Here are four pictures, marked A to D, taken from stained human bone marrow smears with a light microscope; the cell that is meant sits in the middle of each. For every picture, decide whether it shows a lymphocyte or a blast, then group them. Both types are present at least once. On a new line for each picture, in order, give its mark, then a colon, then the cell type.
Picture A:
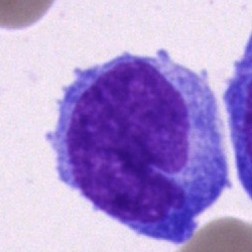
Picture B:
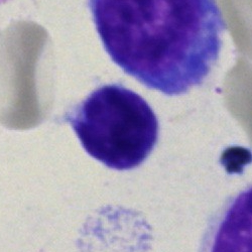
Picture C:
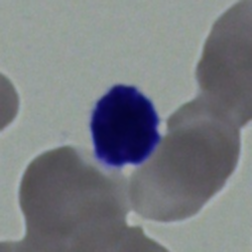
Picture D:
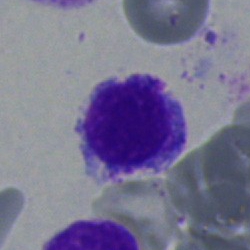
A: blast
B: lymphocyte
C: lymphocyte
D: lymphocyte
